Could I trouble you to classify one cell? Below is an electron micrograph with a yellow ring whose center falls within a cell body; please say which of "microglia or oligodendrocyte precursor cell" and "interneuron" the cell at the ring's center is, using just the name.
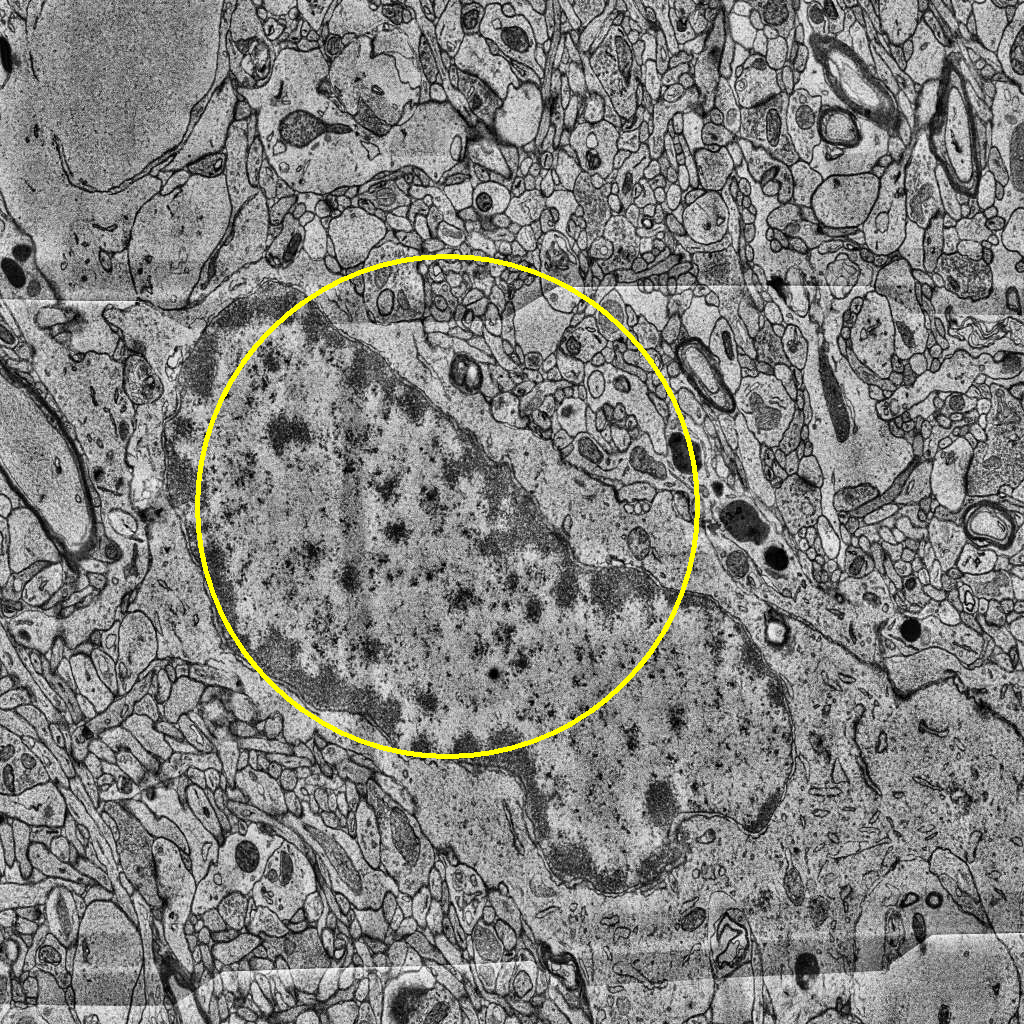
microglia or oligodendrocyte precursor cell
